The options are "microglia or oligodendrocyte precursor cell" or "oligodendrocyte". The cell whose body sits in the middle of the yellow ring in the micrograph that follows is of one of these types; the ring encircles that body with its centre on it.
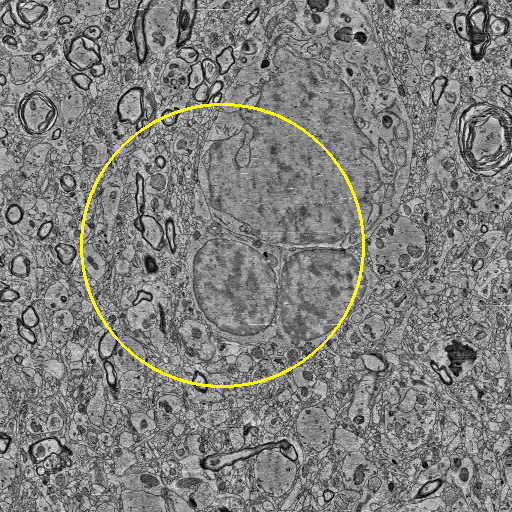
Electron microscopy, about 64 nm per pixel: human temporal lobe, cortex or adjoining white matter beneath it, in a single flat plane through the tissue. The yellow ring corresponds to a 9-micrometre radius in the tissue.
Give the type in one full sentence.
Going by the micrograph, the cell centred in the yellow ring is an oligodendrocyte.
